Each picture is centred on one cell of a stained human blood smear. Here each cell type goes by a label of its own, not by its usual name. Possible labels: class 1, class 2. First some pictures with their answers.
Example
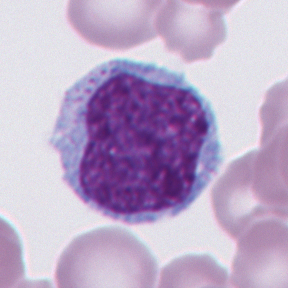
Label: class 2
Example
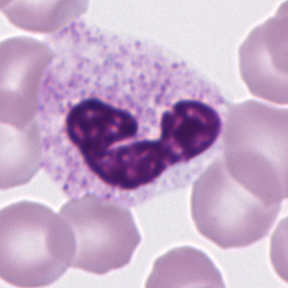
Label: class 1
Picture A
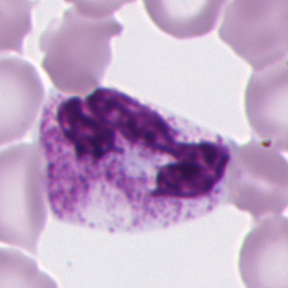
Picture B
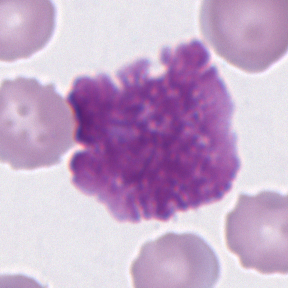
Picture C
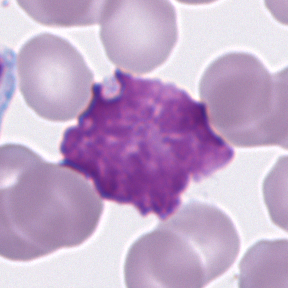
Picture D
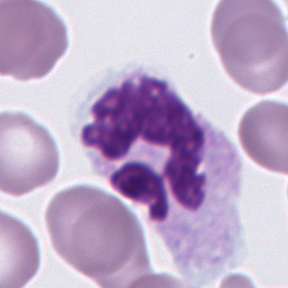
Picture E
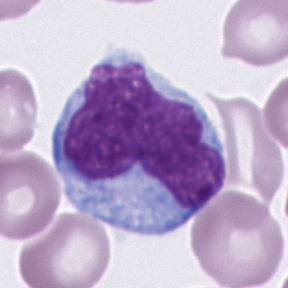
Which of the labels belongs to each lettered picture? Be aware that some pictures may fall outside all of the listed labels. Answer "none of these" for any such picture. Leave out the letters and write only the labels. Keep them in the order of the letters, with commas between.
class 1, none of these, none of these, class 1, class 2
